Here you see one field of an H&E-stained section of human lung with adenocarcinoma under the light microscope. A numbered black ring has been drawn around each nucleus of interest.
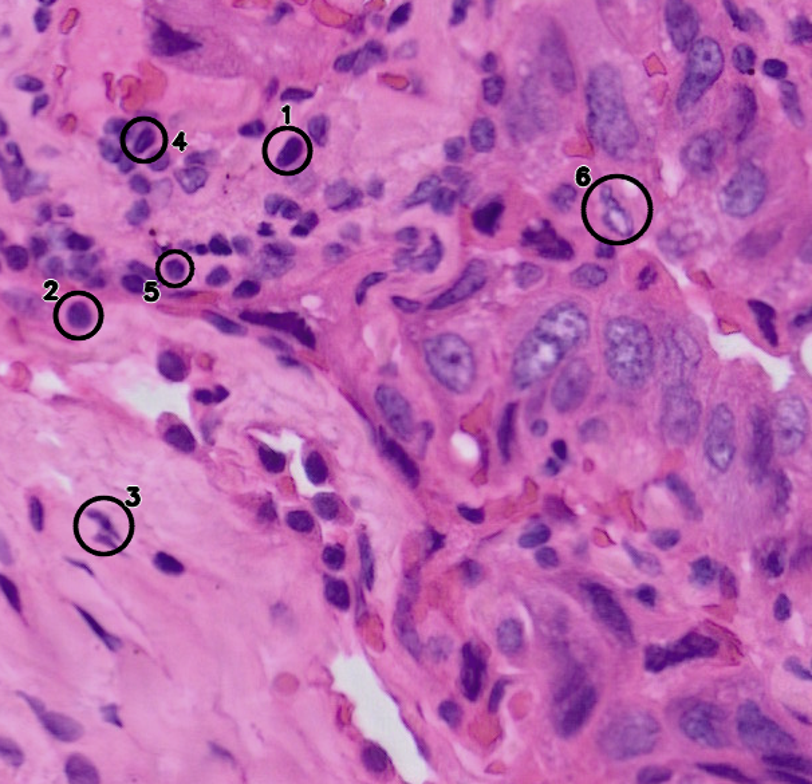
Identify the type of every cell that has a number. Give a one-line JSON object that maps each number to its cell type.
{"1": "lymphocyte", "2": "lymphocyte", "3": "fibroblast", "4": "lymphocyte", "5": "lymphocyte", "6": "macrophage or monocyte"}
